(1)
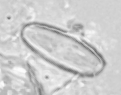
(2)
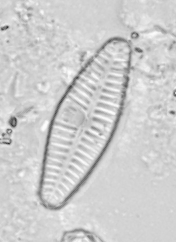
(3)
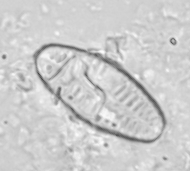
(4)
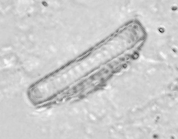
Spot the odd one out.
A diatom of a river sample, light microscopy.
Picture 1 (Sellaphora among Planothidium).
